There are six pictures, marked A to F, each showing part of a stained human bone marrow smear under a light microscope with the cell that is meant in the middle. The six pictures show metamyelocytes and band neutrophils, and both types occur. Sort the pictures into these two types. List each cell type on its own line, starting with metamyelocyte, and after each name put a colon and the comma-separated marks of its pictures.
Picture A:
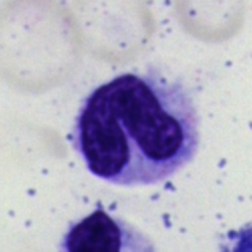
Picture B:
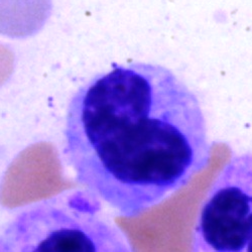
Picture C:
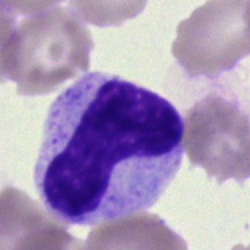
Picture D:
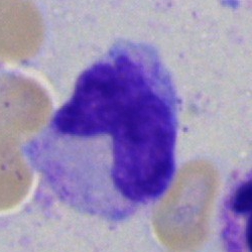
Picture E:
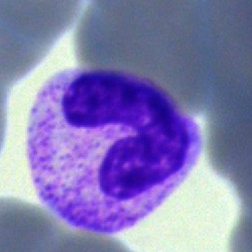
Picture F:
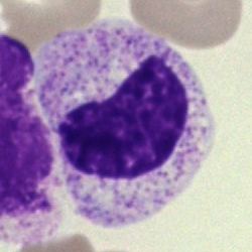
metamyelocyte: B, F
band neutrophil: A, C, D, E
